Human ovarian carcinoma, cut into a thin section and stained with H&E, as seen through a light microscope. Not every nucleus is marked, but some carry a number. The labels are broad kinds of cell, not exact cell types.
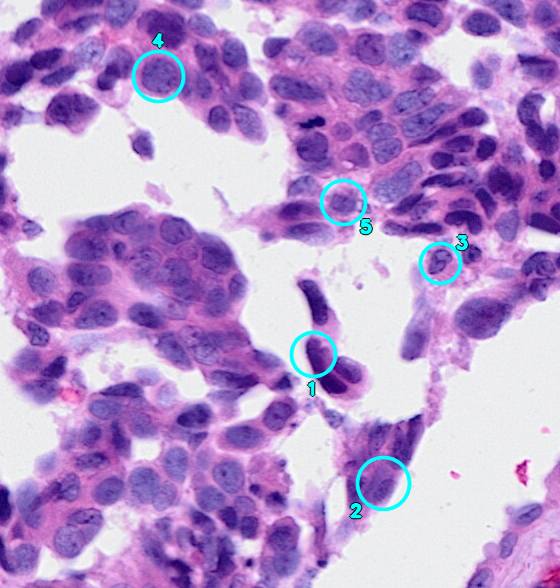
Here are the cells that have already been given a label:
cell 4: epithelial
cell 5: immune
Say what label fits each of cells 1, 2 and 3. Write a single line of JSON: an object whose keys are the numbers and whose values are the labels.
{"1": "epithelial", "2": "epithelial", "3": "immune"}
